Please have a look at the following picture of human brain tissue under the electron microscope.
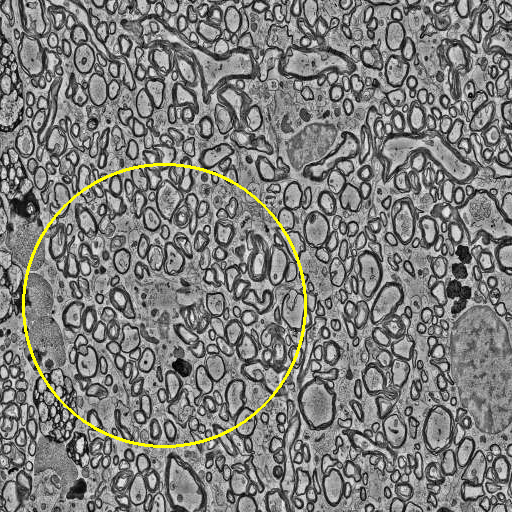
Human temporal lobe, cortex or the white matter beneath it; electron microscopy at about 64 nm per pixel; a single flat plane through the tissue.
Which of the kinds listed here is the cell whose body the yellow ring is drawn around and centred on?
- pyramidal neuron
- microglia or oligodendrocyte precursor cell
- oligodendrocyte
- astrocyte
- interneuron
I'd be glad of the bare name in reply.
oligodendrocyte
